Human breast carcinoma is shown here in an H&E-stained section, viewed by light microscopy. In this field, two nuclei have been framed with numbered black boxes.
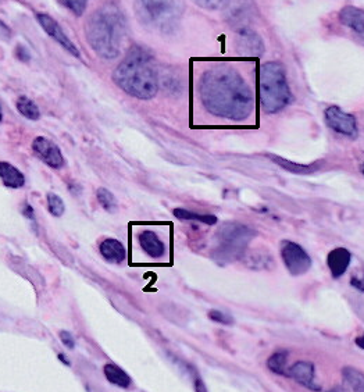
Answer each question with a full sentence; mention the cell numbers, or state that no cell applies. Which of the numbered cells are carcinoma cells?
Cell 1 is a carcinoma cell and is the only numbered cell of that kind.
